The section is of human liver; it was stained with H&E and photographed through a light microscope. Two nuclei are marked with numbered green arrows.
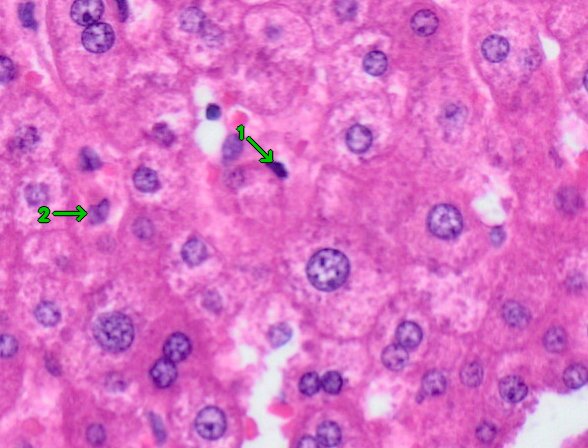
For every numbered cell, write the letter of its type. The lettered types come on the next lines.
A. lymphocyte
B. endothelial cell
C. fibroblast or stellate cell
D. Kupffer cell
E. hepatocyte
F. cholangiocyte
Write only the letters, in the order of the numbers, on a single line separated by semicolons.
B; D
